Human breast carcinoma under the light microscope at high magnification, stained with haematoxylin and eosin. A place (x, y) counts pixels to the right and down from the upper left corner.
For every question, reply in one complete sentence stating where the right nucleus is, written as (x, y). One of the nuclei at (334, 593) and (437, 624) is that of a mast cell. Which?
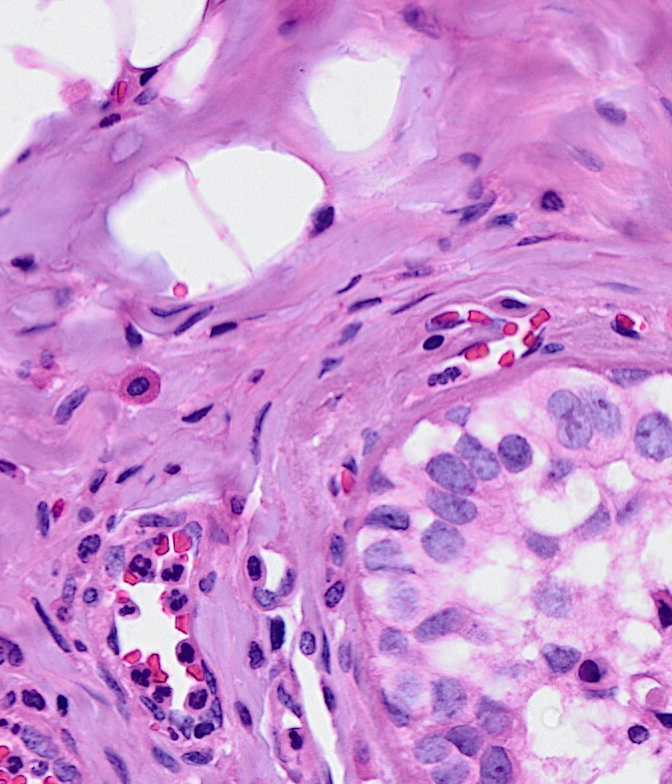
Here the nucleus at (334, 593) is the one that belongs to a mast cell.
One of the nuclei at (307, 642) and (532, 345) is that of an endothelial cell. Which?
Of these two nuclei, only the one at (532, 345) belongs to an endothelial cell.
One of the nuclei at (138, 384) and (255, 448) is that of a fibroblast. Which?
The correct choice is the nucleus at (255, 448), which belongs to a fibroblast.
